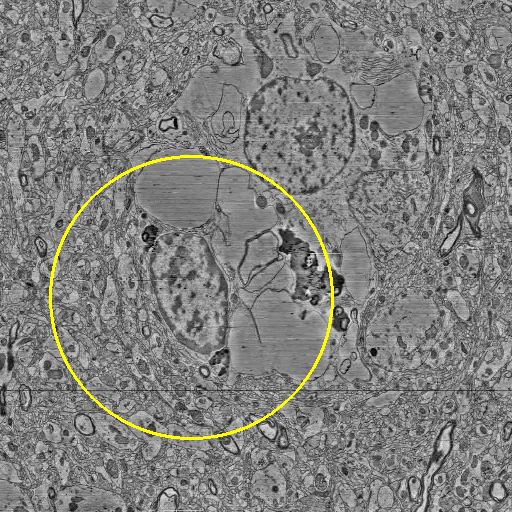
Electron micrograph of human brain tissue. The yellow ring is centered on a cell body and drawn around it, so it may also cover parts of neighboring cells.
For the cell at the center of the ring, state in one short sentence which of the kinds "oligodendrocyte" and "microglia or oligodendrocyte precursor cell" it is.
This ring is centered on a microglial cell or oligodendrocyte precursor cell.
